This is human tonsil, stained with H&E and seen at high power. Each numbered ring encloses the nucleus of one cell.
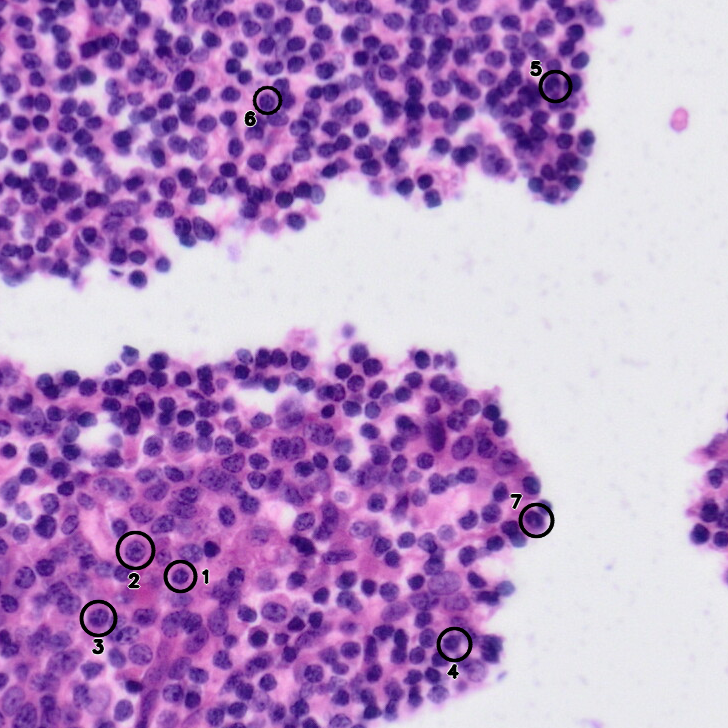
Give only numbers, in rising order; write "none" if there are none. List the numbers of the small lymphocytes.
4, 5, 6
